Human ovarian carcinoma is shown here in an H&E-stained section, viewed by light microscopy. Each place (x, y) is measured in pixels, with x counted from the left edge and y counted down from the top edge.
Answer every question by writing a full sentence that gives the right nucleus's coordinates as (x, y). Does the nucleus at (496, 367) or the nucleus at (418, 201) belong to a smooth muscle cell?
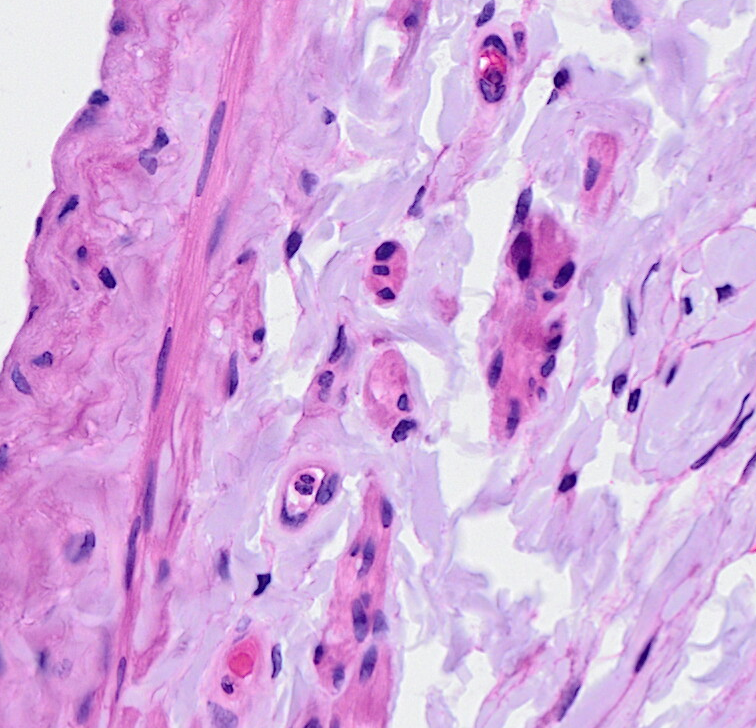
In this pair, the nucleus at (496, 367) belongs to a smooth muscle cell.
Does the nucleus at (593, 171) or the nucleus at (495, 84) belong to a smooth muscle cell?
Assigned to a smooth muscle cell is the nucleus located at (593, 171).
